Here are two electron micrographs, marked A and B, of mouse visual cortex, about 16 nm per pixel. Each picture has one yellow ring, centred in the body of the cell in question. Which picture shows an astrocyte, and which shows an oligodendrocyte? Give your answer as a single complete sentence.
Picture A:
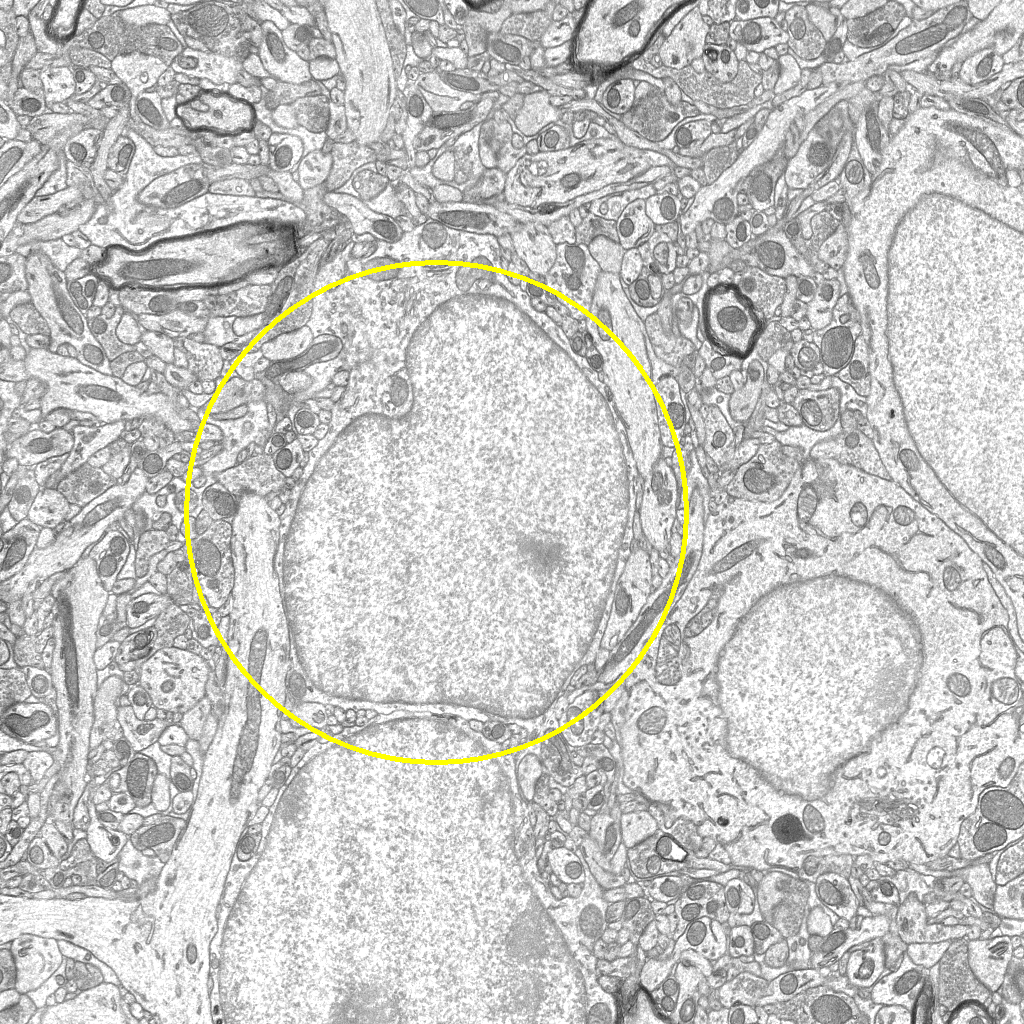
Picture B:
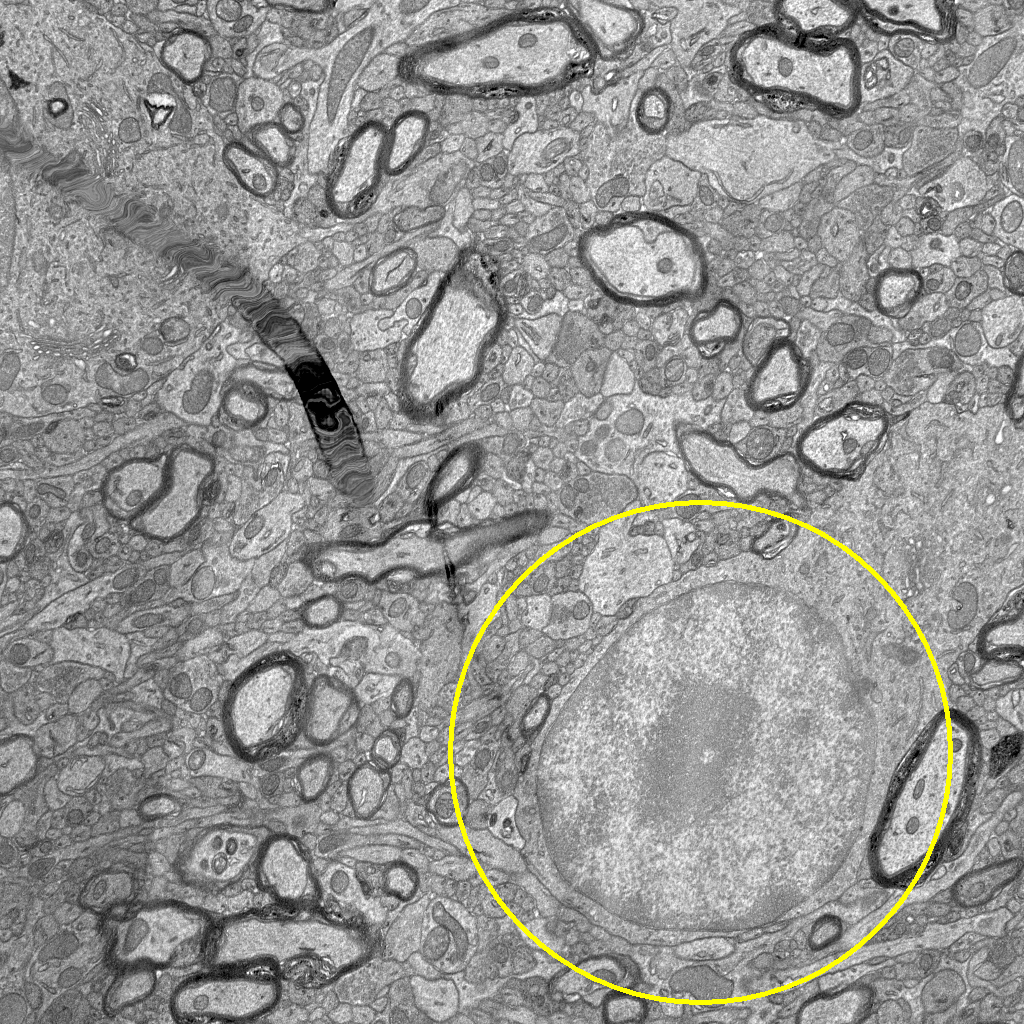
The cell in picture A is an astrocyte, and the one in picture B is an oligodendrocyte.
